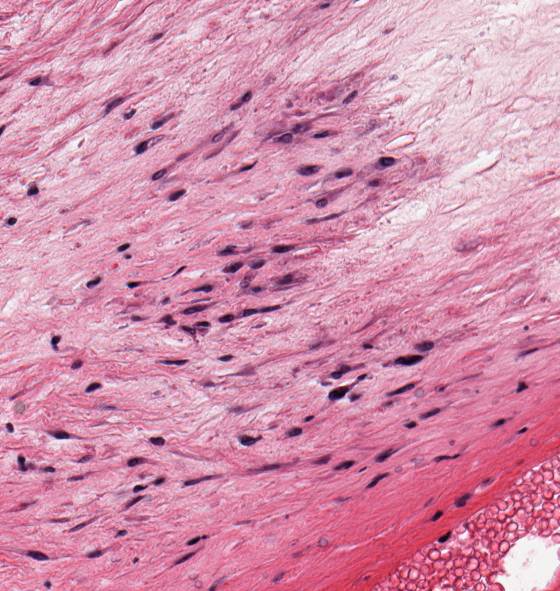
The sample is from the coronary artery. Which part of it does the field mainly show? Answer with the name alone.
tunica intima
